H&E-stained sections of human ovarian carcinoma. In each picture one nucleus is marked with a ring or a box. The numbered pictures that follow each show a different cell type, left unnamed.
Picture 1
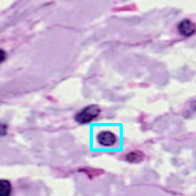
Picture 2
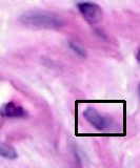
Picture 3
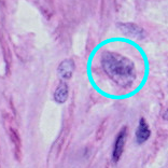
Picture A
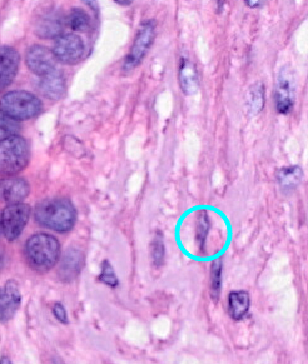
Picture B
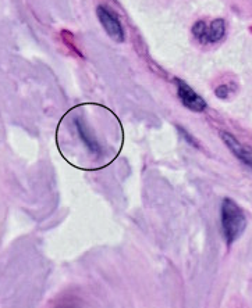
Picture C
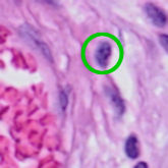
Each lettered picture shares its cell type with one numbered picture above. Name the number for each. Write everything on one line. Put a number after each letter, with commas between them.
A 3, B 3, C 1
